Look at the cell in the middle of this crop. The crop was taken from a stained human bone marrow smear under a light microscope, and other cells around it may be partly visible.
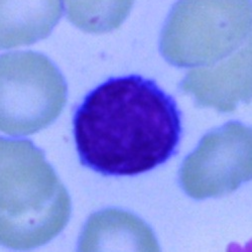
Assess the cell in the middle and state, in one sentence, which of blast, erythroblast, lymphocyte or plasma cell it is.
As for the cell in the middle, it is a lymphocyte.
